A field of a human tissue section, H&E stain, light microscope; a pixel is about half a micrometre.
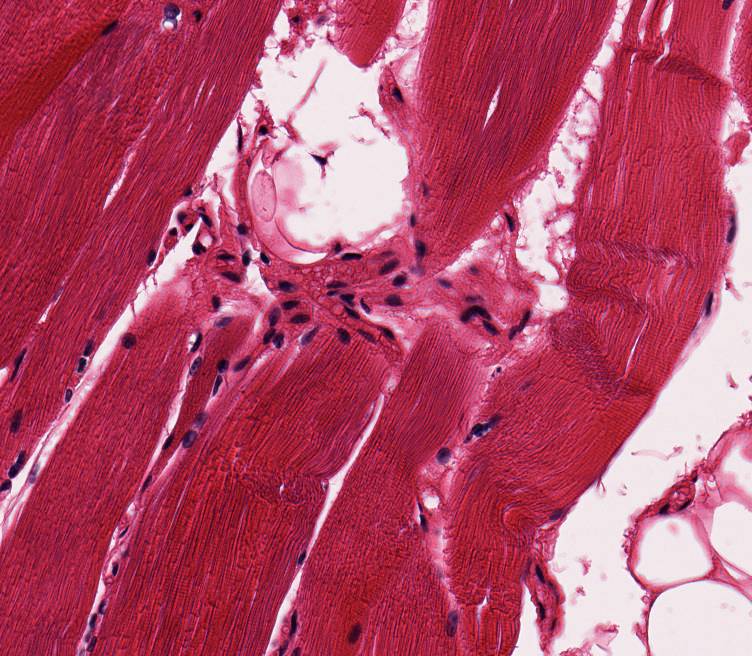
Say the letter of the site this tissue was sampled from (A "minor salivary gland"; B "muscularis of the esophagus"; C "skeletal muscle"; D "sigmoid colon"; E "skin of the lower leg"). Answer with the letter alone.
C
